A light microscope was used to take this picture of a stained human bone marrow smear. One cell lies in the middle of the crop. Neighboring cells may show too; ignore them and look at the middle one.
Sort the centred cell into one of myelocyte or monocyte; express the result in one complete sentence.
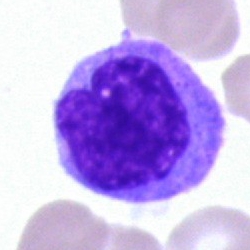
In short, the cell at the center is a monocyte.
